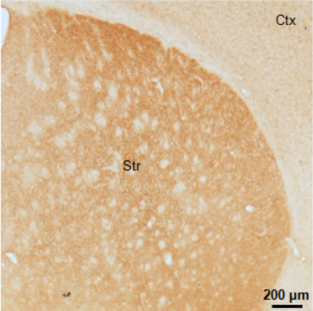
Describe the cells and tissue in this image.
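A low-power view of the striatum shows a diffuse brown stain filling the tissue between many small pale round patches scattered through it, while the thin strip of cortex at the top corner is much paler. The stain lies in the neuropil of the striatum rather than in distinct cell bodies.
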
